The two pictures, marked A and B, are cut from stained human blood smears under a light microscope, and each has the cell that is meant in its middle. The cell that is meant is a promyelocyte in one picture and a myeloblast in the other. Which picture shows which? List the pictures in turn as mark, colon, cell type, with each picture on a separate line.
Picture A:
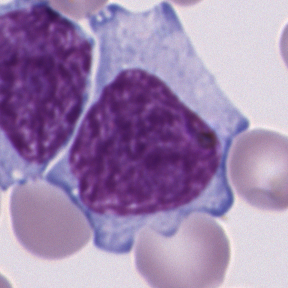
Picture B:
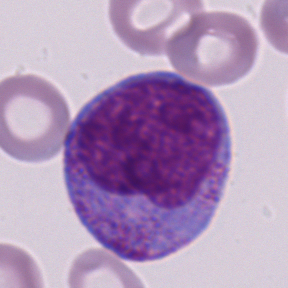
A: myeloblast
B: promyelocyte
